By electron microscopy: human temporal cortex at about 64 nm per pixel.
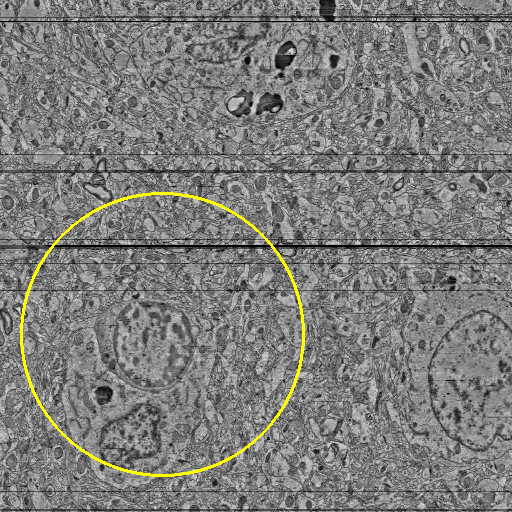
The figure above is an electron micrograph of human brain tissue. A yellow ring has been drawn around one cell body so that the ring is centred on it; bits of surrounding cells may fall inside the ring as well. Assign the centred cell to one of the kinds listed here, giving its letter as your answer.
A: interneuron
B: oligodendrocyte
B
